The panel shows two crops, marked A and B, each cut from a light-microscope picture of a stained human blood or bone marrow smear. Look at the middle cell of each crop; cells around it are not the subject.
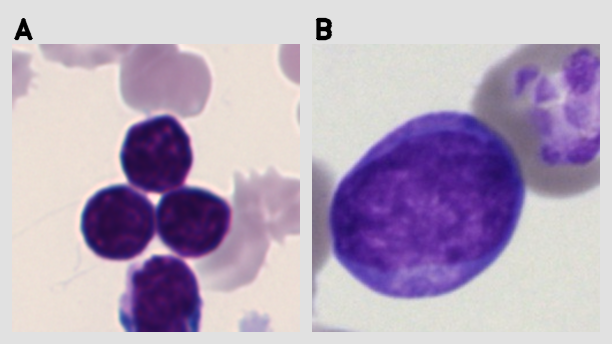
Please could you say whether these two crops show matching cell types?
yes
